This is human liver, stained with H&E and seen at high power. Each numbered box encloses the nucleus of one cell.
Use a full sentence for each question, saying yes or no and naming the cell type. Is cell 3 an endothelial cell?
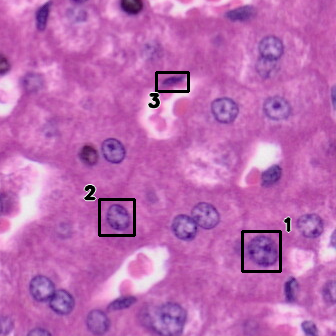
Yes, number 3 corresponds to an endothelial cell.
